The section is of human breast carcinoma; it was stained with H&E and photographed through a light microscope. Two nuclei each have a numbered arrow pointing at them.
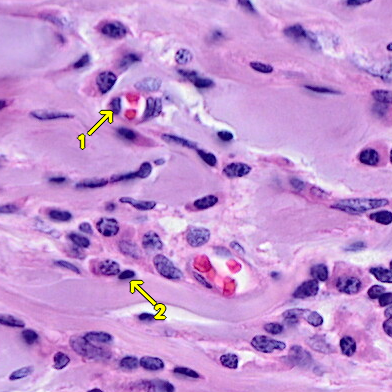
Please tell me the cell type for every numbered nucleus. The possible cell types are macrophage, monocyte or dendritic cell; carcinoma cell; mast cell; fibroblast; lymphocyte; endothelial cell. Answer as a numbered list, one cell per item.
1. endothelial cell
2. lymphocyte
